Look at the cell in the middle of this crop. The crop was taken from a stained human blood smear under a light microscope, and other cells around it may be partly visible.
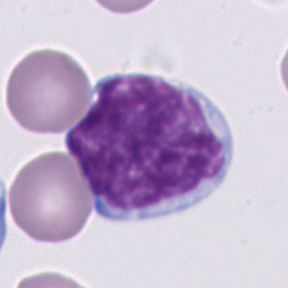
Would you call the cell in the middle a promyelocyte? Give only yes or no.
no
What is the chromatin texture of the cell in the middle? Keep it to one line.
Heads up, the chromatin in this one is coarsely clumped.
